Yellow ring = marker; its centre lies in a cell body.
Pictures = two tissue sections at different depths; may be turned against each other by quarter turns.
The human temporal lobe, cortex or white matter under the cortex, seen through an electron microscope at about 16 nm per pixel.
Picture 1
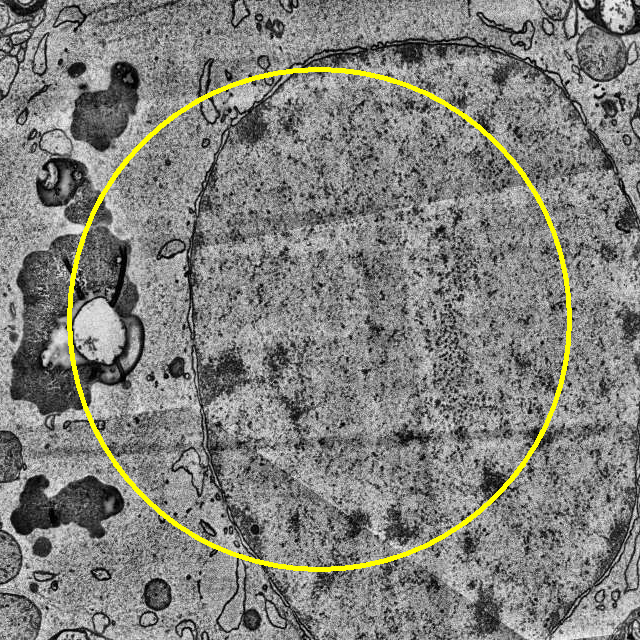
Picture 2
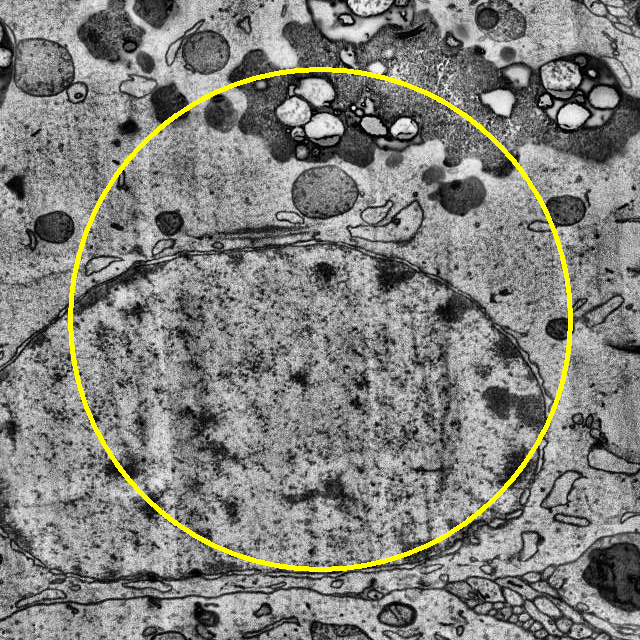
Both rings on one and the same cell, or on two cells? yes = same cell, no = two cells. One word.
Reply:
yes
